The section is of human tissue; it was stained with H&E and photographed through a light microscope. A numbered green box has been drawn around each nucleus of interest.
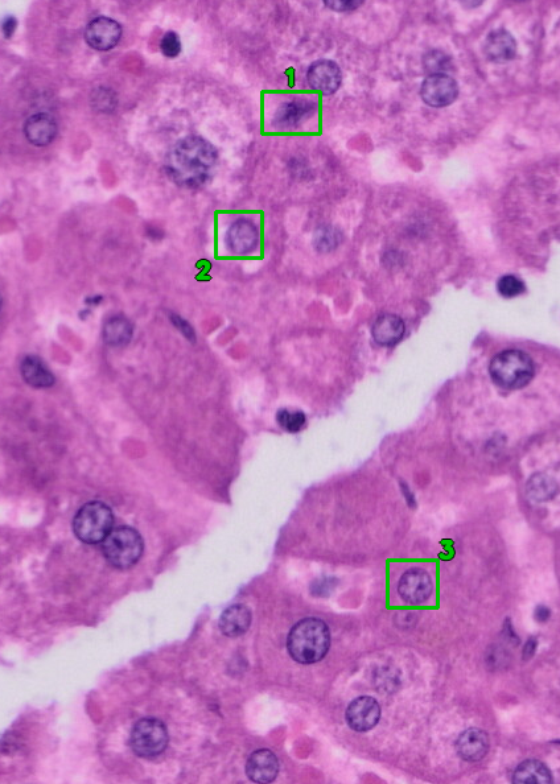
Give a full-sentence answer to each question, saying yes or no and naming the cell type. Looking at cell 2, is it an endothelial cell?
No, cell 2 has been misnamed; it is a hepatocyte, not an endothelial cell.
